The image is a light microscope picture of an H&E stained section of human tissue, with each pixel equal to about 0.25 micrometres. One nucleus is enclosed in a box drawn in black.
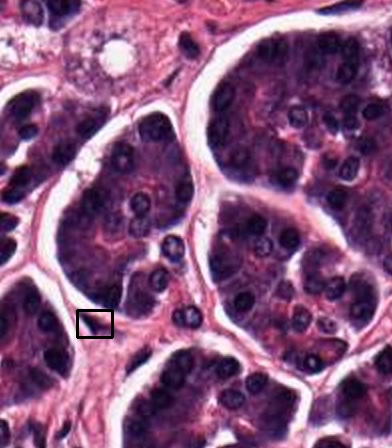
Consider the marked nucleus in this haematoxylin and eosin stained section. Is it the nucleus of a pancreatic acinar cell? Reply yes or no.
no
